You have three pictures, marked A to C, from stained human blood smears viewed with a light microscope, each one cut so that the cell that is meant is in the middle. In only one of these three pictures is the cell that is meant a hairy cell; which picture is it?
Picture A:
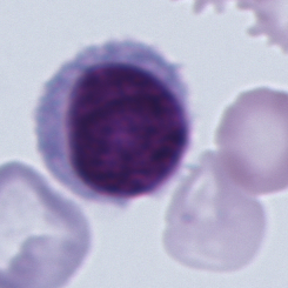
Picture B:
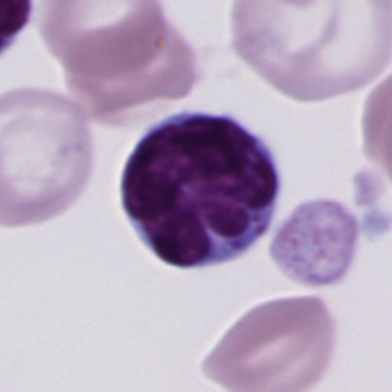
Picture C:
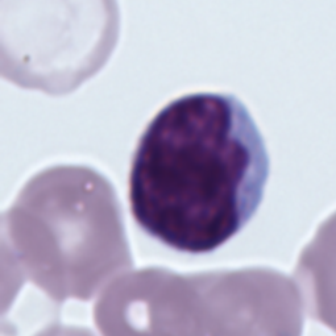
A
